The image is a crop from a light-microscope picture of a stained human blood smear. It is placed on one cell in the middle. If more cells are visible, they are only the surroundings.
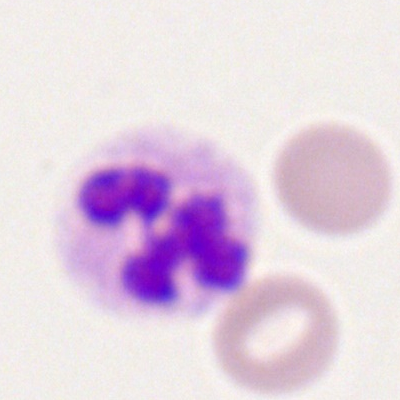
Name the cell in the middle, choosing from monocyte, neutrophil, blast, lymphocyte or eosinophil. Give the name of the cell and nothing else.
neutrophil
